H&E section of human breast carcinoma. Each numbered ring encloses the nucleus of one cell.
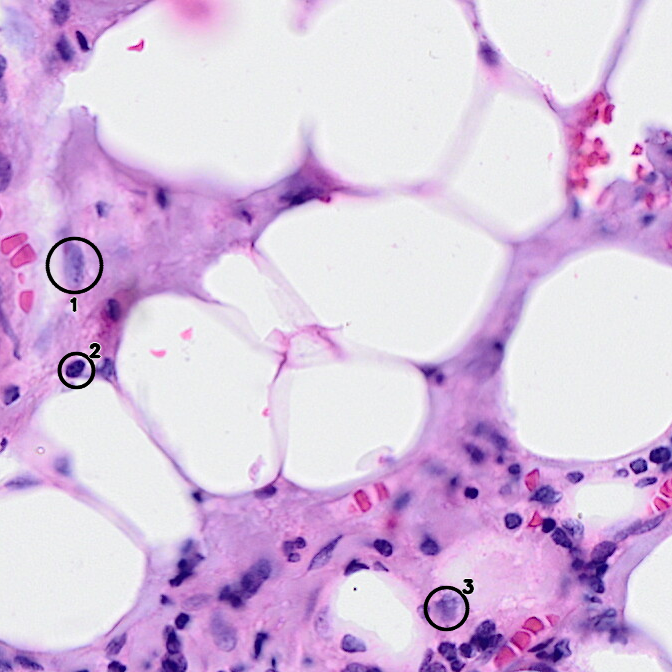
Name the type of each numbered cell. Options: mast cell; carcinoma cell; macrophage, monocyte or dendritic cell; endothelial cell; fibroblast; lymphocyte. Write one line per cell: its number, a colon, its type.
1: fibroblast
2: lymphocyte
3: fibroblast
